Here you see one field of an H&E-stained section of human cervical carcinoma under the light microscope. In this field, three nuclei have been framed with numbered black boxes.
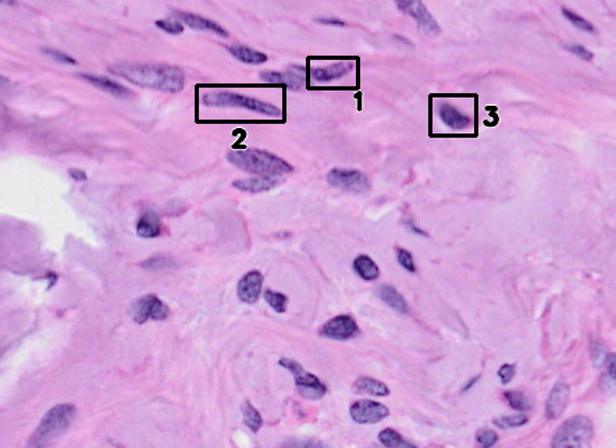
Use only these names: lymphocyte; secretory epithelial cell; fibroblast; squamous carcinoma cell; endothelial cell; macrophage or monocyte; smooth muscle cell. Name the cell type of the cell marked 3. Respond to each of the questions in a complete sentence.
The cell given label 3 is a lymphocyte.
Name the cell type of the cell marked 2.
Cell 2, among those numbered, is a fibroblast.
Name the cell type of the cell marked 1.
Cell 1 is classified as a fibroblast.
